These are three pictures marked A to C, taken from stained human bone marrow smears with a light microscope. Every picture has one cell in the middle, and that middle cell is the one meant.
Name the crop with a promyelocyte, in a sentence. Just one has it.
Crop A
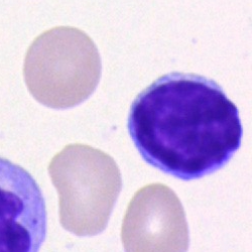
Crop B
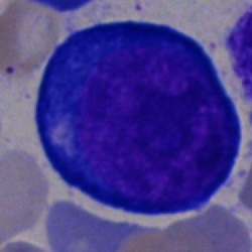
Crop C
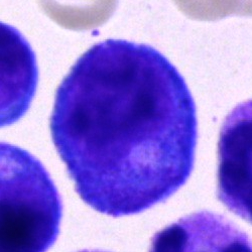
Crop C alone, of all the crops, shows a promyelocyte.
